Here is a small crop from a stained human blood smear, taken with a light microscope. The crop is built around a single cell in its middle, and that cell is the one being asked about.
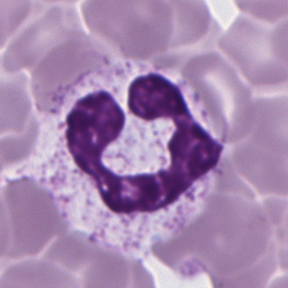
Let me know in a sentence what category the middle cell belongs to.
At the middle of the frame sits a segmented neutrophil.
